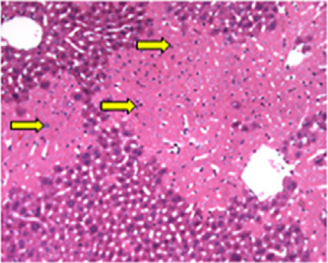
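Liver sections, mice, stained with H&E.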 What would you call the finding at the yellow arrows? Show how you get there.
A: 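These pale areas are sharply bordered by densely packed cells with dark purple nuclei. That points to this answer: necrosis.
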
